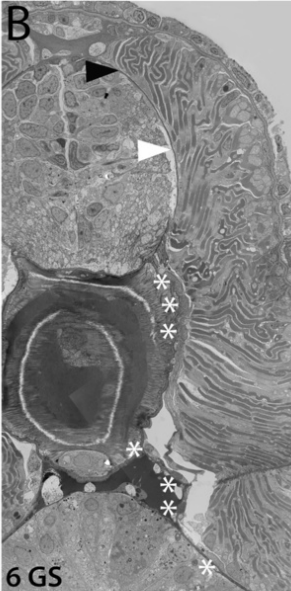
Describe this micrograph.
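A large block of muscle fills the right side, made of stacked, wavy, lamellar fibres with striated profiles, and this is the myotome. At the upper left lies a rounded cluster of cells with many nuclei, and below it a large dark oval structure with a pale concentric ring sits at the midline. Along the medial edge of the muscle, beside these midline structures, runs a thin layer of small cells with nuclei, which is the sclerotome.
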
